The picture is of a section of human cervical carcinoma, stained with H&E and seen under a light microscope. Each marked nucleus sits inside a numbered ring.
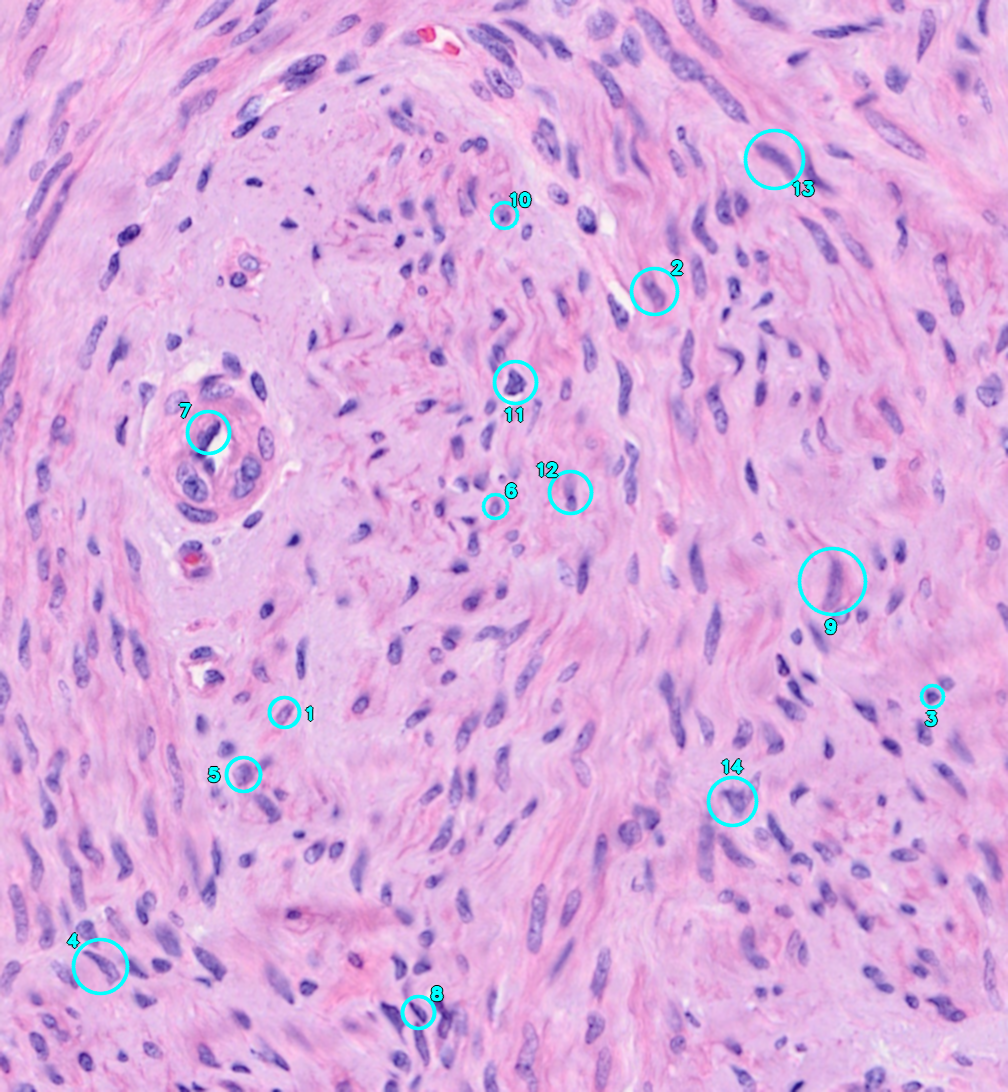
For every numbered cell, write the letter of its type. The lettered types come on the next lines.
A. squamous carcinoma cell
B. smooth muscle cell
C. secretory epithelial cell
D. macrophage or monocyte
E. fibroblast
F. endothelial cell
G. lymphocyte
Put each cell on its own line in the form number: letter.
1: B
2: B
3: E
4: E
5: B
6: B
7: F
8: E
9: B
10: B
11: G
12: B
13: B
14: E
